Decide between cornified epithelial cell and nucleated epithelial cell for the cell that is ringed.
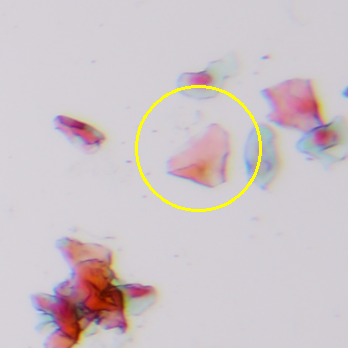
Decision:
I take the ringed cell for a cornified epithelial cell.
